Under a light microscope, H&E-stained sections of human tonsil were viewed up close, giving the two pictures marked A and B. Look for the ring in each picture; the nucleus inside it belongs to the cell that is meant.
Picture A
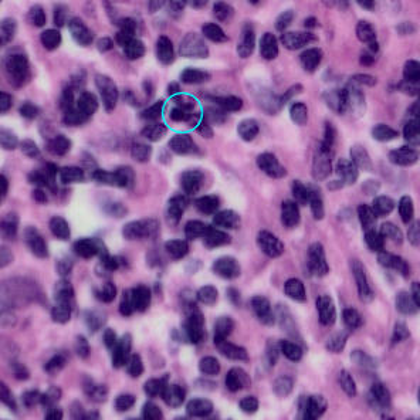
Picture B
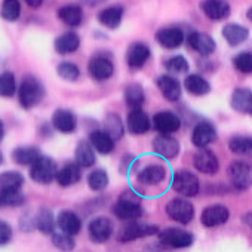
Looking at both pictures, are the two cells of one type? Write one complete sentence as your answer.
Yes, both cells are small lymphocytes.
